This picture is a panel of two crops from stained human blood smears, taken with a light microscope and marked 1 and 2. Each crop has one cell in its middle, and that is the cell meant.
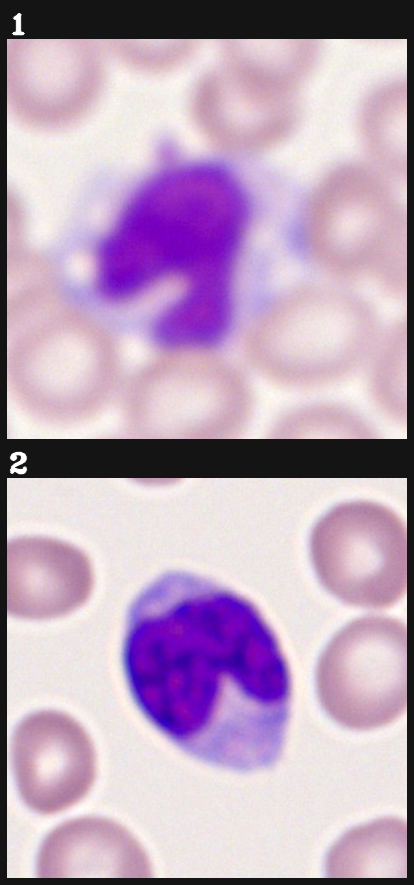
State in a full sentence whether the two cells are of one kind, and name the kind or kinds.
Yes, the central cells, in both crops, are monocytes.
